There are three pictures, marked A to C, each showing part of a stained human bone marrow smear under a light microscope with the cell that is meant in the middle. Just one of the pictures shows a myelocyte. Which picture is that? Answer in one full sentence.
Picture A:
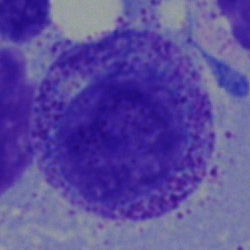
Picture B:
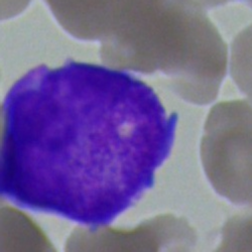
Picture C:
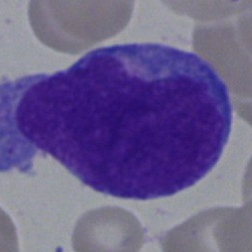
It is picture A that shows the myelocyte.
